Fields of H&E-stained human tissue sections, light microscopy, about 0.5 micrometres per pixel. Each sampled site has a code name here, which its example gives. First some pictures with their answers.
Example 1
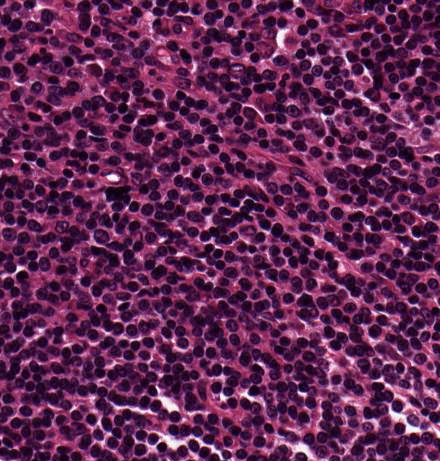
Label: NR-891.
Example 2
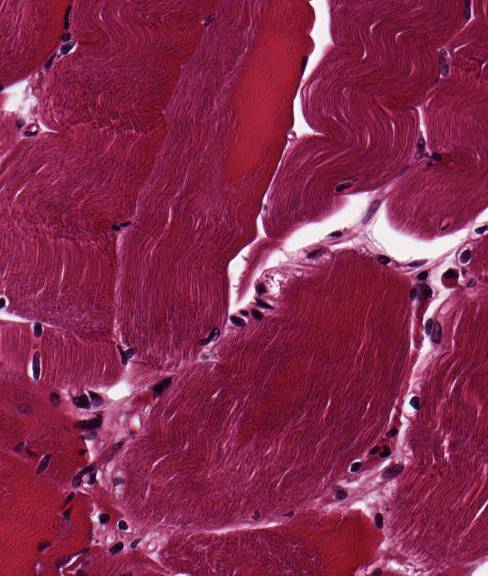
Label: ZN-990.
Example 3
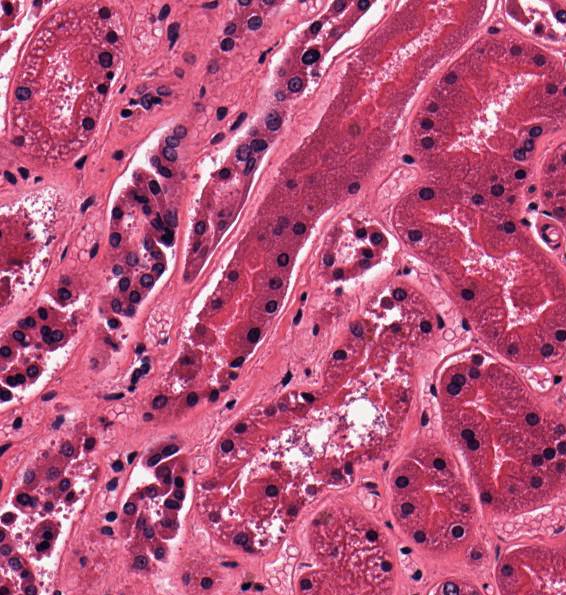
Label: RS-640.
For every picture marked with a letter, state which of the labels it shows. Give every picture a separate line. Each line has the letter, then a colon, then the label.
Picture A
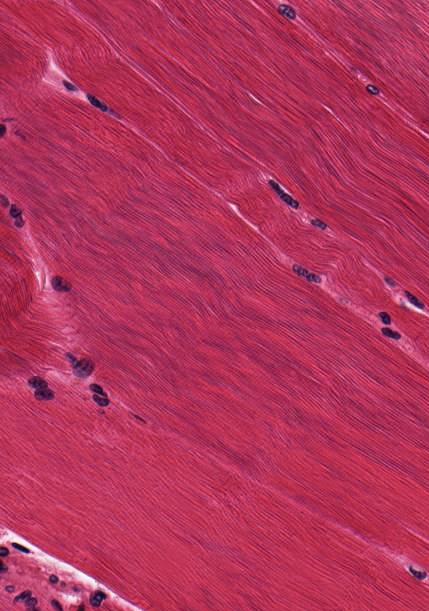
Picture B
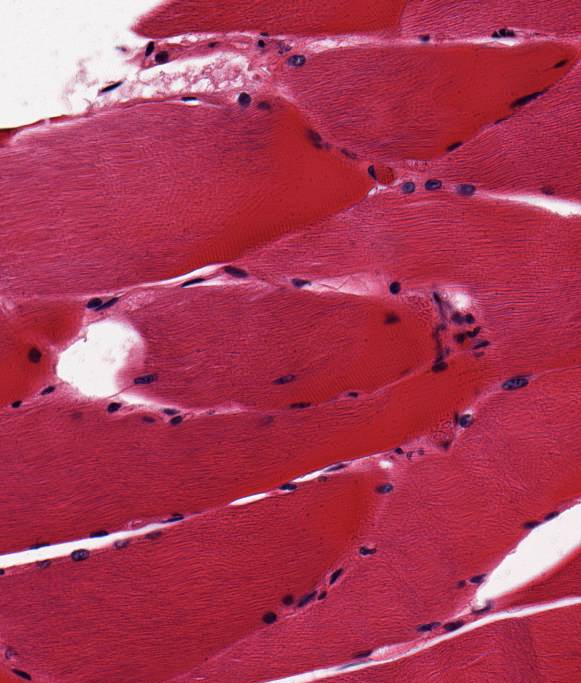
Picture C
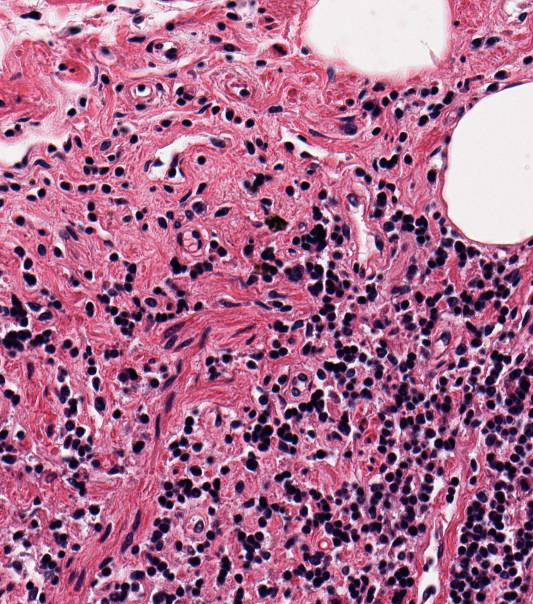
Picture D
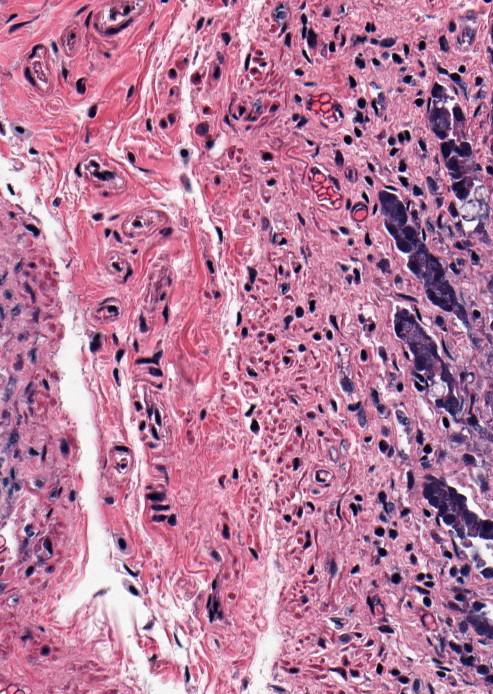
A: ZN-990.
B: ZN-990.
C: NR-891.
D: NR-891.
